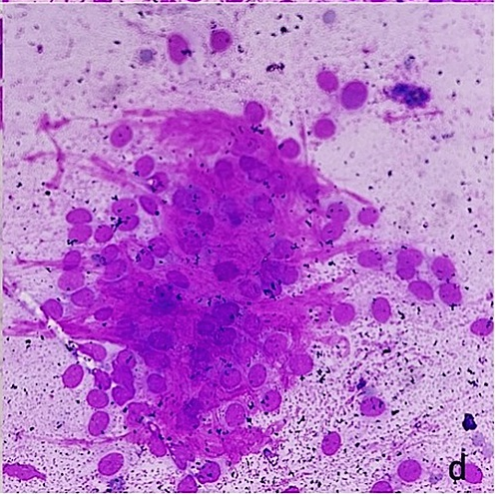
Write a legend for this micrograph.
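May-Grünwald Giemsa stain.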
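Here a cluster of tumor cells sits within strands of matrix. Pink-magenta fibrillary threads, wavy and rope-like, run through the centre of the cluster and between the cells. Oval purple nuclei of fairly uniform size are set in and around these strands, some overlapping in the crowded middle, others scattered singly toward the edges. Cytoplasm is pale and poorly outlined. The background is light with fine granular debris and occasional dark specks.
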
